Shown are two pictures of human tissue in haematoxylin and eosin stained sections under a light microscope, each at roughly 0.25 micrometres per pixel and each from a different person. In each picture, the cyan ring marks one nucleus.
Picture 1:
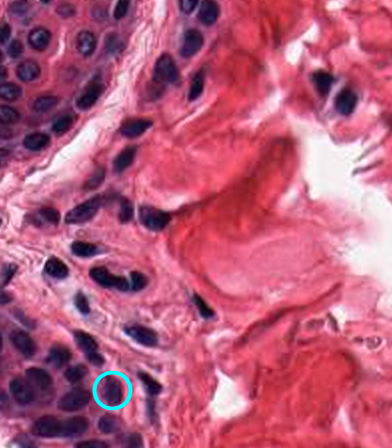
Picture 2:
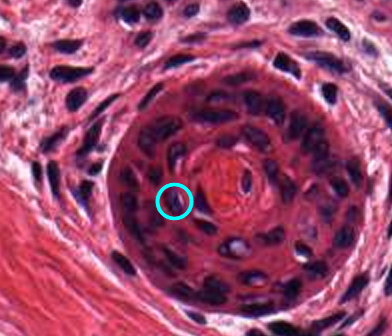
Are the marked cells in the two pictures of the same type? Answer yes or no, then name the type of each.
Yes, both are keratinocytes.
